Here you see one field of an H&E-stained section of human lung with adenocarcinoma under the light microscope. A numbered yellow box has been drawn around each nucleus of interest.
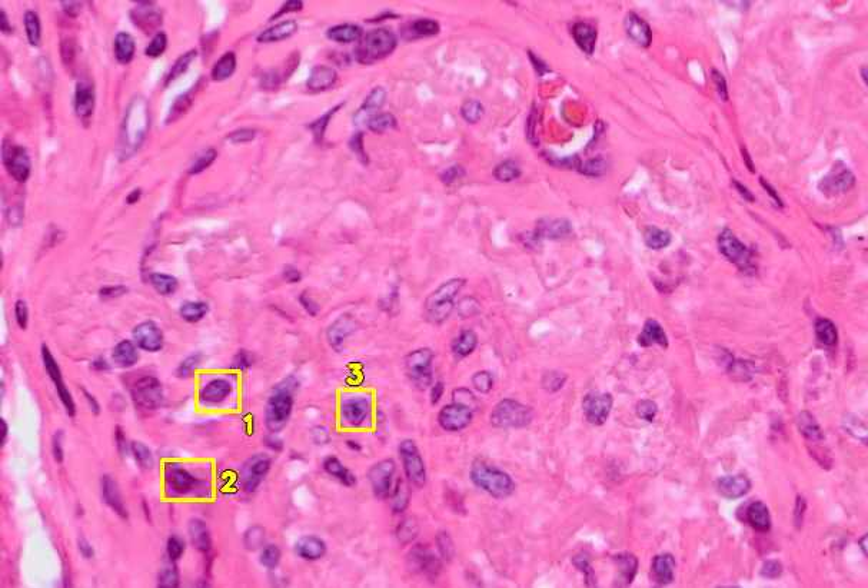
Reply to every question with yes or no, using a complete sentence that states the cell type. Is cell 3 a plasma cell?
No, the marked cell 3 is not a plasma cell, being instead a lymphocyte.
